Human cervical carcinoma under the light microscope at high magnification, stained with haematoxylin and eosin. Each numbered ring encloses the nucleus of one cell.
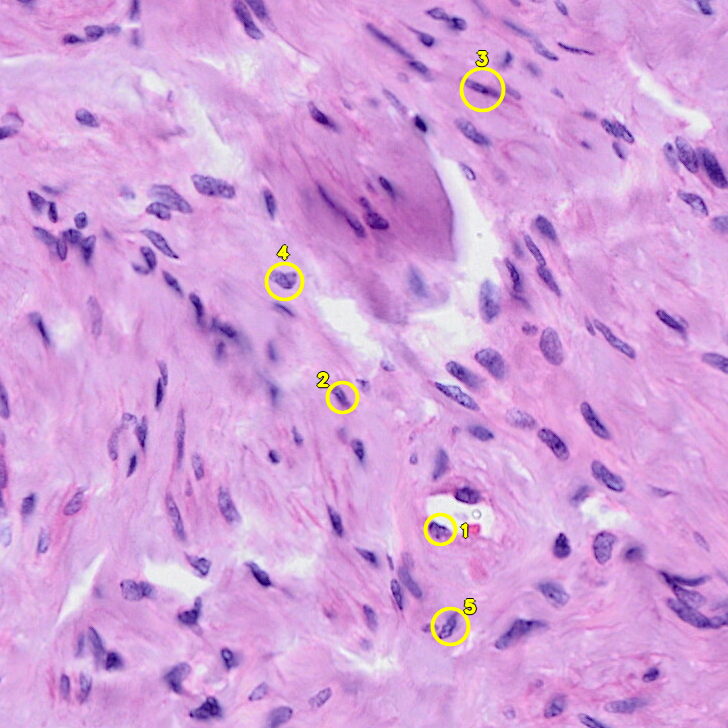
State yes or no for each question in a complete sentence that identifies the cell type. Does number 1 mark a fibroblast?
No, cell 1 does not represent a fibroblast; it represents an endothelial cell.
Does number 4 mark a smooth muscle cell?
No. Cell number 4 is a fibroblast, not a smooth muscle cell.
